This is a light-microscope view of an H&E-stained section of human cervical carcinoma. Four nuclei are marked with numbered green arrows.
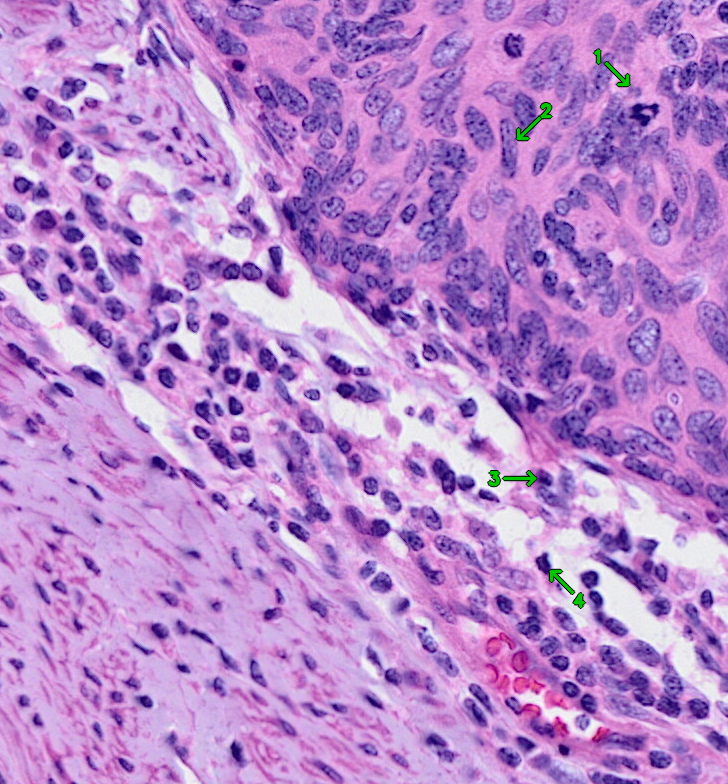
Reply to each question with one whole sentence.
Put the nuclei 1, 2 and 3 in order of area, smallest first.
Smallest first, the nuclei run 1, 3, 2.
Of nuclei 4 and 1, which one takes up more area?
The larger nucleus is 4, at roughly 2 times the area of 1.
